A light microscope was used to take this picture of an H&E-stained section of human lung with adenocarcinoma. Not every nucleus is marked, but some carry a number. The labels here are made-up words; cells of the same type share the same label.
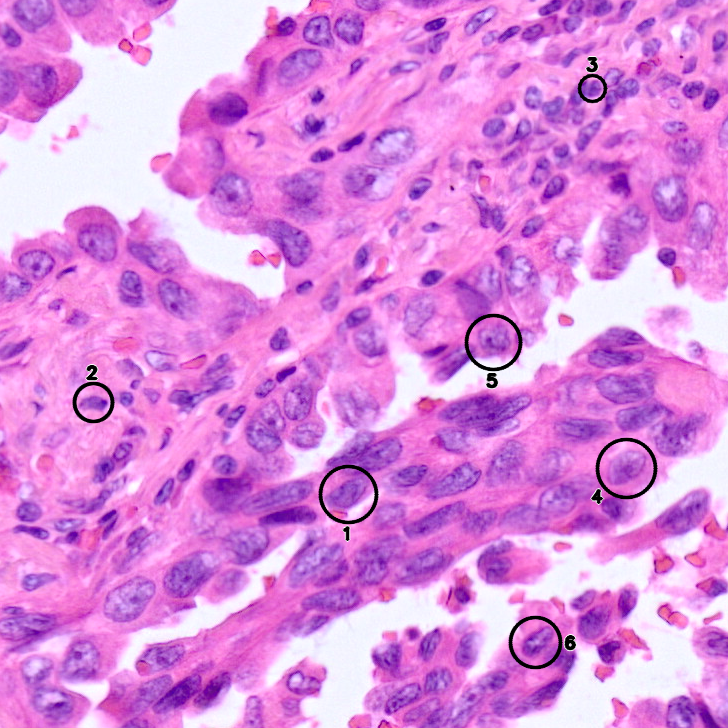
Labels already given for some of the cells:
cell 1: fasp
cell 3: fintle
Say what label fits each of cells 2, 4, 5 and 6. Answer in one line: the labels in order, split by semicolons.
fintle; fasp; fasp; fasp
